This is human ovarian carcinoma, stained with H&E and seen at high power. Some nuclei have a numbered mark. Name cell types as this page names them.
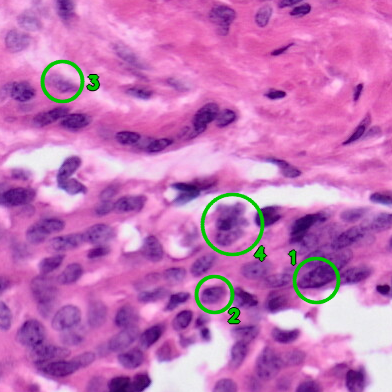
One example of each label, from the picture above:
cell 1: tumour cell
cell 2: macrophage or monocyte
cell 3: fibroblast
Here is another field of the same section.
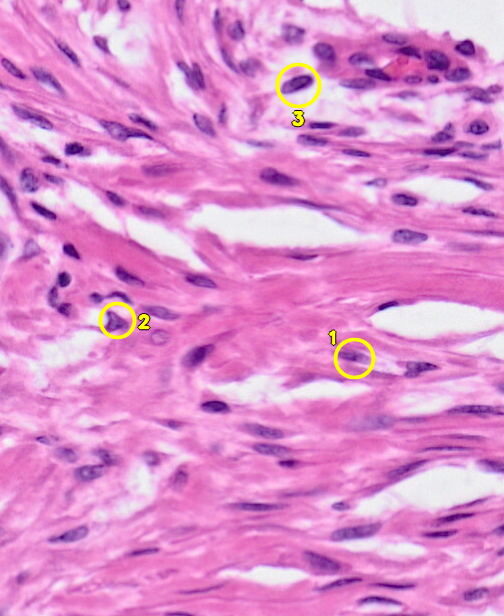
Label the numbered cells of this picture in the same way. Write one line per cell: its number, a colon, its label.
1: fibroblast
2: fibroblast
3: macrophage or monocyte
